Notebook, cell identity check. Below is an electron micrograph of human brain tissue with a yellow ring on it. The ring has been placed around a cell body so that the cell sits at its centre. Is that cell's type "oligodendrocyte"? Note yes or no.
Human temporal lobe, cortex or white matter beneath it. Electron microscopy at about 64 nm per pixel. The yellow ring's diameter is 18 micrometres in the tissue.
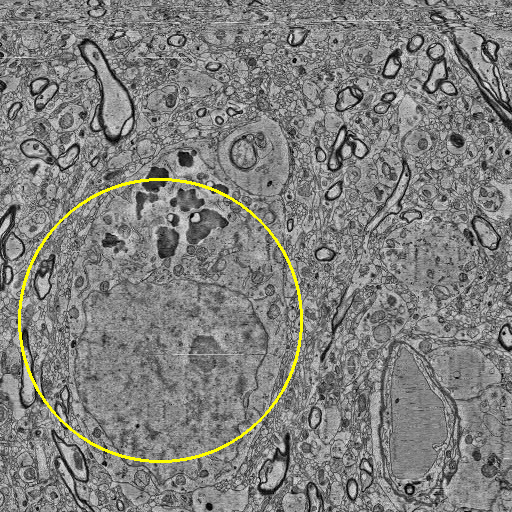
No, its cell type is another one.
